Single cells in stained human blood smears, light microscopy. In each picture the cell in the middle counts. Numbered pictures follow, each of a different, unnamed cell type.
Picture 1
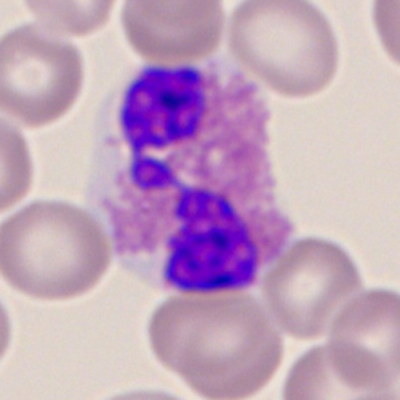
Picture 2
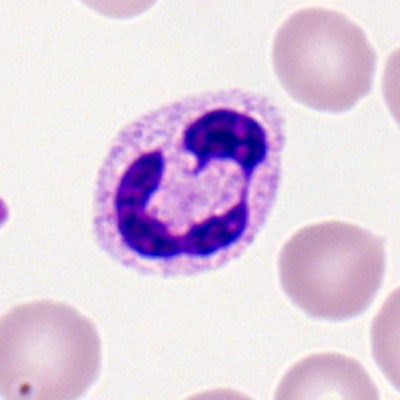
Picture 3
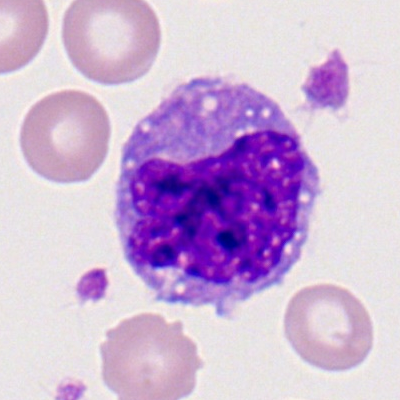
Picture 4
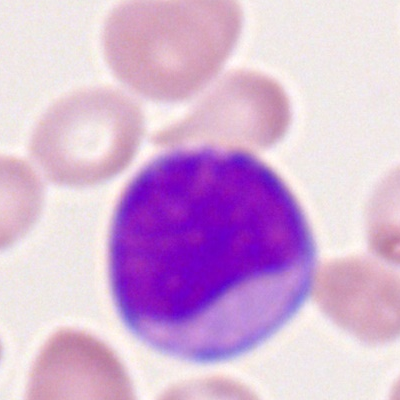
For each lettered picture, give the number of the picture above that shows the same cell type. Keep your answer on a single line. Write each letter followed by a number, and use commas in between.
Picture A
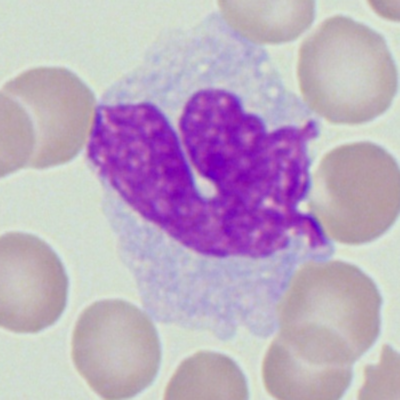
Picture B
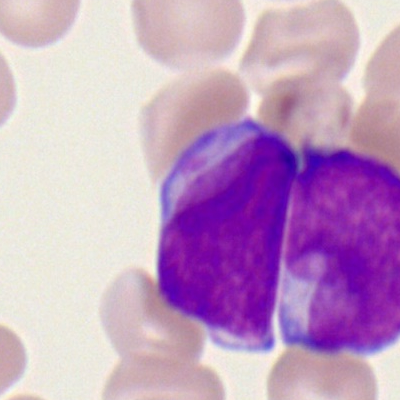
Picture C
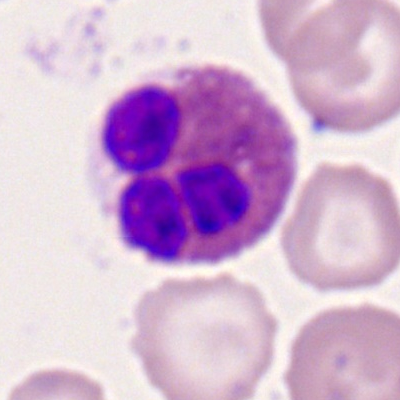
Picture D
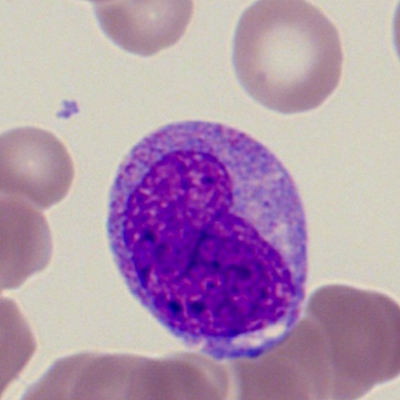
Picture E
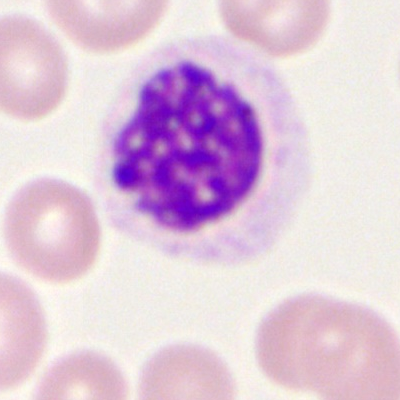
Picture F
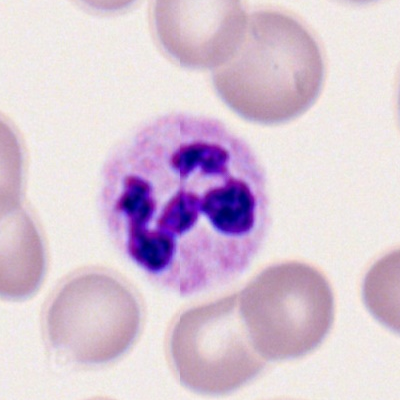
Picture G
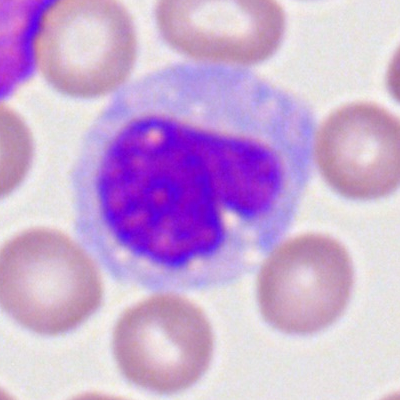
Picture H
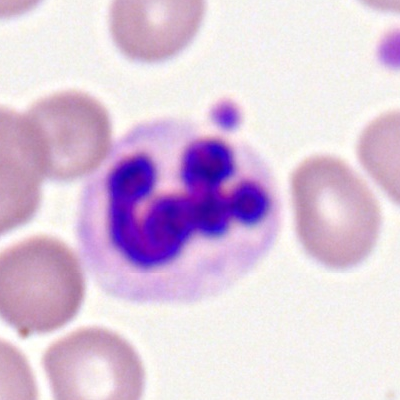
A 3, B 4, C 1, D 3, E 2, F 2, G 3, H 2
